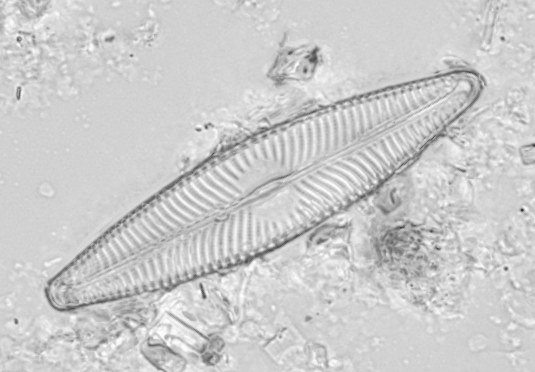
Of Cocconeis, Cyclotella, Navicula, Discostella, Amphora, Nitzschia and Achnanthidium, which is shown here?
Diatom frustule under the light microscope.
Navicula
